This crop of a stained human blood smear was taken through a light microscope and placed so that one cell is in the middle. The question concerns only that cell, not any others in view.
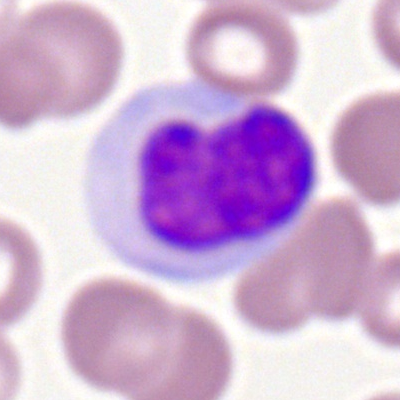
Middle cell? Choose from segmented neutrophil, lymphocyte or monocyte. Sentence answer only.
The center cell of this crop is a monocyte.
